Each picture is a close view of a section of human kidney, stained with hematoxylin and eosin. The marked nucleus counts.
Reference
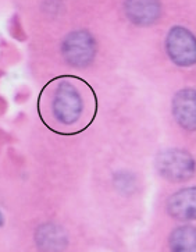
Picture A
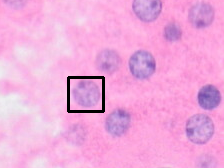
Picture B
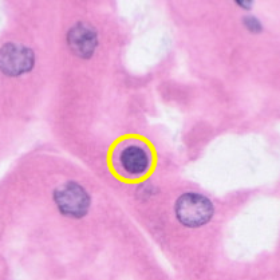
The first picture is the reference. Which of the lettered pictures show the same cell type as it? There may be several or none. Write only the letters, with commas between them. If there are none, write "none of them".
A, B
